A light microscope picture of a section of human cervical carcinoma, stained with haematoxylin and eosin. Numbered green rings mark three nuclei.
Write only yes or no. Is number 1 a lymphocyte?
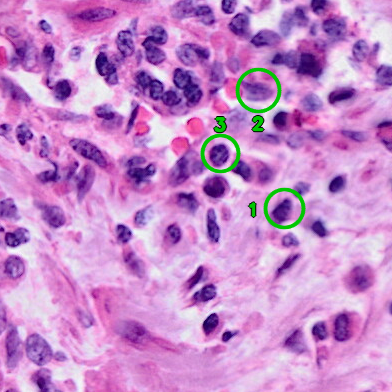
yes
